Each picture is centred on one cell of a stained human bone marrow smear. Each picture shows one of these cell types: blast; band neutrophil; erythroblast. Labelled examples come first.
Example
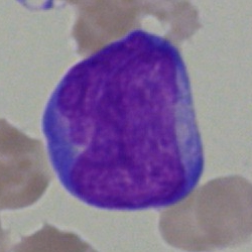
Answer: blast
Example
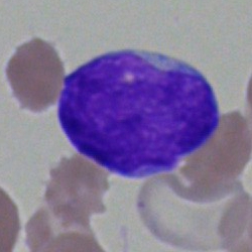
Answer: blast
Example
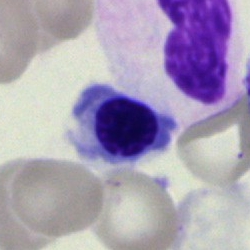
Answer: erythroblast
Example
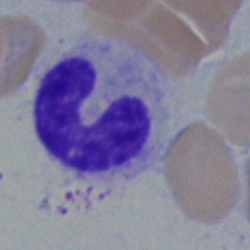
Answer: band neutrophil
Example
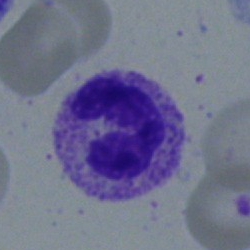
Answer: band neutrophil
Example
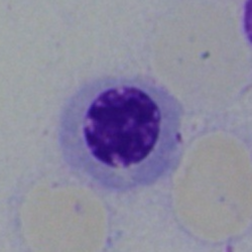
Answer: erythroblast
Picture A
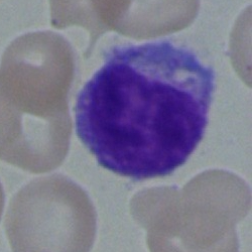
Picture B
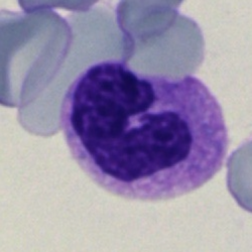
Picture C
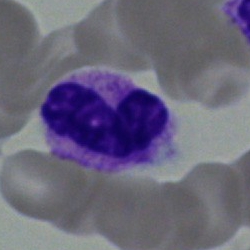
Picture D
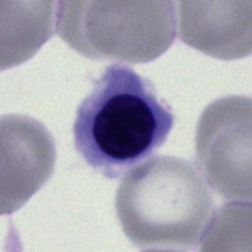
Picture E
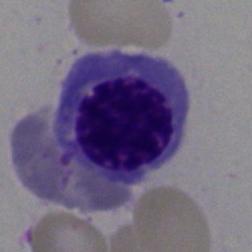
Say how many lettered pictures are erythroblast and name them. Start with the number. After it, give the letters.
2, namely D, E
